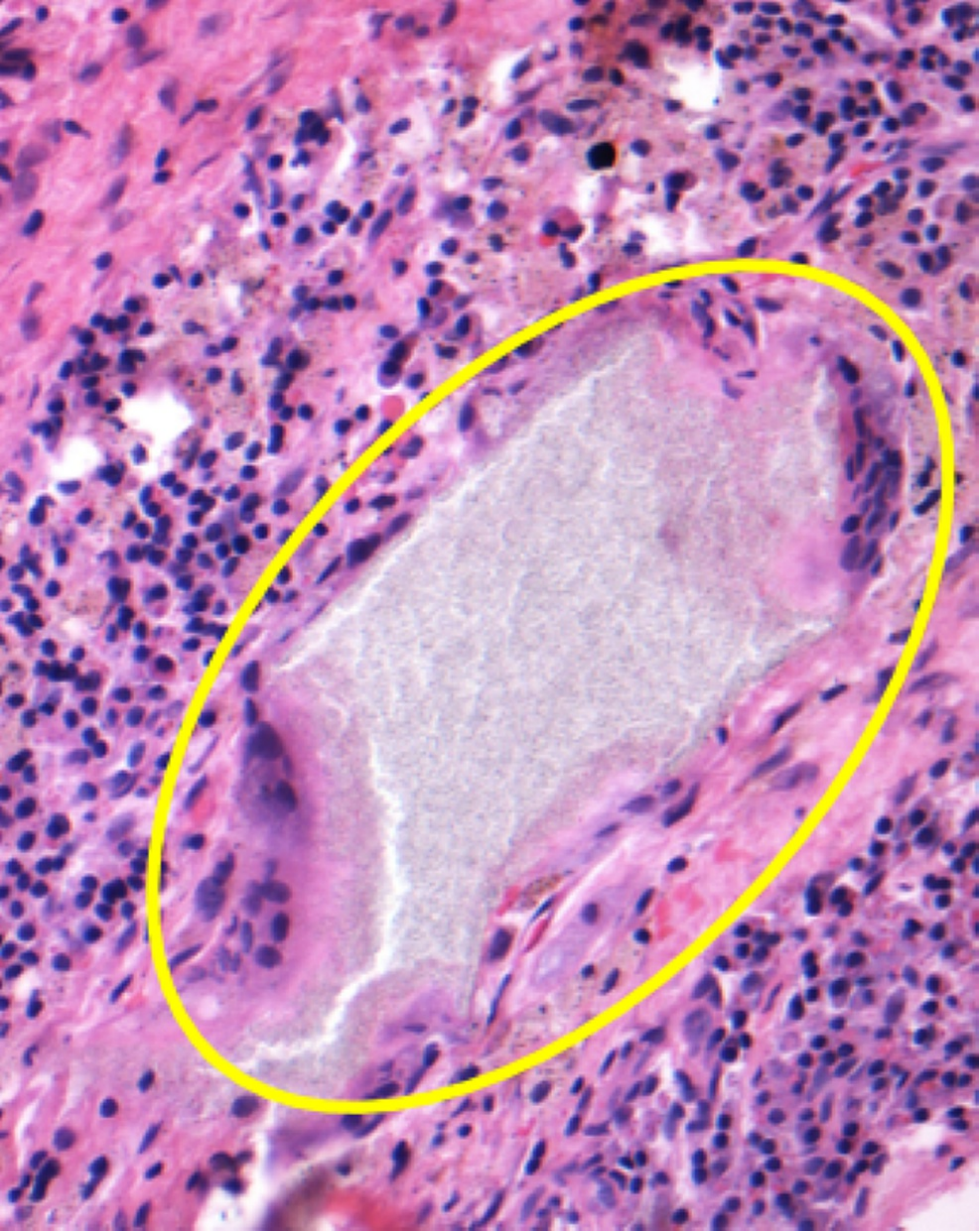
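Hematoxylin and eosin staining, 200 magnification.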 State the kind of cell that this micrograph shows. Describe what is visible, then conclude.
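Foreign-body type giant cell. Large cells with several nuclei are pressed against the left and upper right edges of the pale deposit. These cells have abundant pink cytoplasm wrapped around the deposit's margin.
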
